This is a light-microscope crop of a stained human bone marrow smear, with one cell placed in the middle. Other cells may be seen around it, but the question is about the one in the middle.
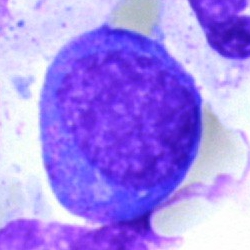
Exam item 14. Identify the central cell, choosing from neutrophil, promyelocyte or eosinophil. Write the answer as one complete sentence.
Here the cell in the middle is a promyelocyte.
